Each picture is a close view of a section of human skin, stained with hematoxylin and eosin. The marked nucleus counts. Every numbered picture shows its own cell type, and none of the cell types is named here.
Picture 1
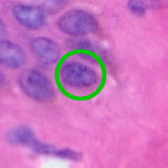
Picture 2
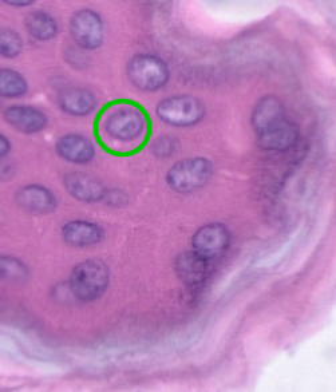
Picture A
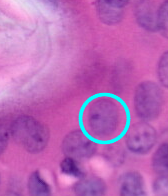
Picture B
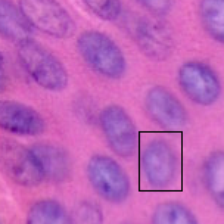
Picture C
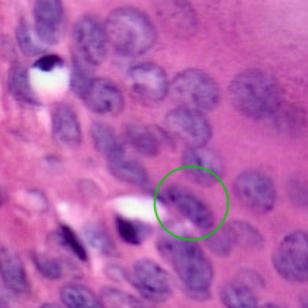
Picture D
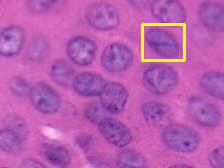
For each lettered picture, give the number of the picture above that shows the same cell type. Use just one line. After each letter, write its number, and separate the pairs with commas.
A 2, B 2, C 1, D 2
